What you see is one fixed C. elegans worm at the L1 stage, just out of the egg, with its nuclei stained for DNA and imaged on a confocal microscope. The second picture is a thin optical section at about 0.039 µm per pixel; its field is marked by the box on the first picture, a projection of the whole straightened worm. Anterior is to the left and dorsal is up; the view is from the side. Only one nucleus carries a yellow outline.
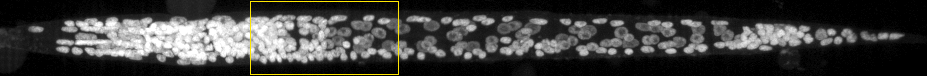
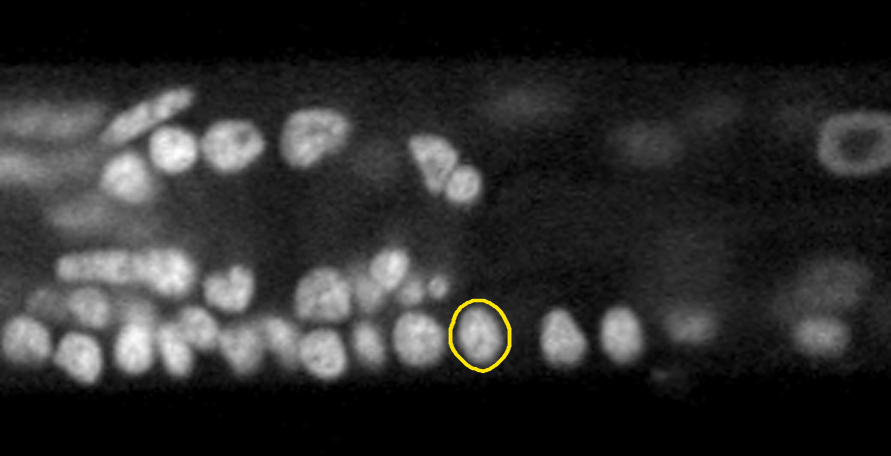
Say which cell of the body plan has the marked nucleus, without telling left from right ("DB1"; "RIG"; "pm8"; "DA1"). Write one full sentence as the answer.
The nucleus is from DA1, a neuron.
